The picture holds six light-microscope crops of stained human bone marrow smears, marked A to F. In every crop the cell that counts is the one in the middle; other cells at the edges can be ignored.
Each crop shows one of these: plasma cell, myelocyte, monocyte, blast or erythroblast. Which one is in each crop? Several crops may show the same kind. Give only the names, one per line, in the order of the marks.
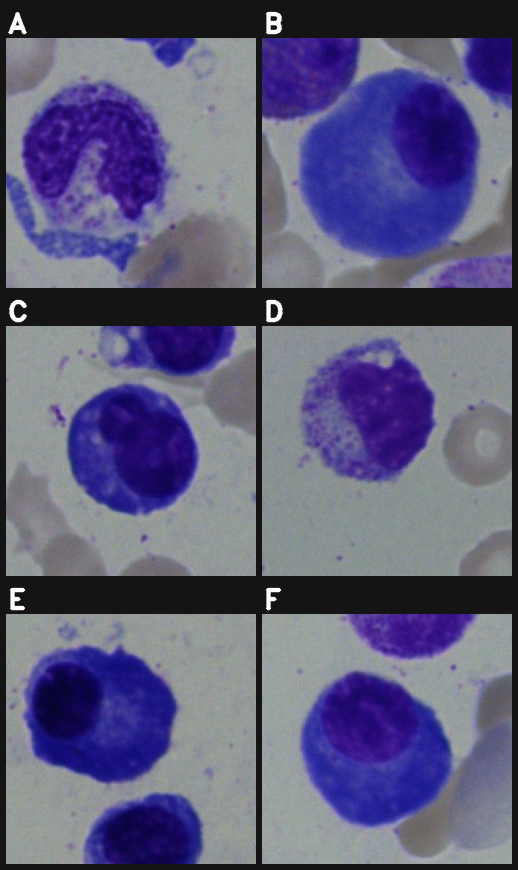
monocyte
plasma cell
plasma cell
myelocyte
plasma cell
plasma cell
